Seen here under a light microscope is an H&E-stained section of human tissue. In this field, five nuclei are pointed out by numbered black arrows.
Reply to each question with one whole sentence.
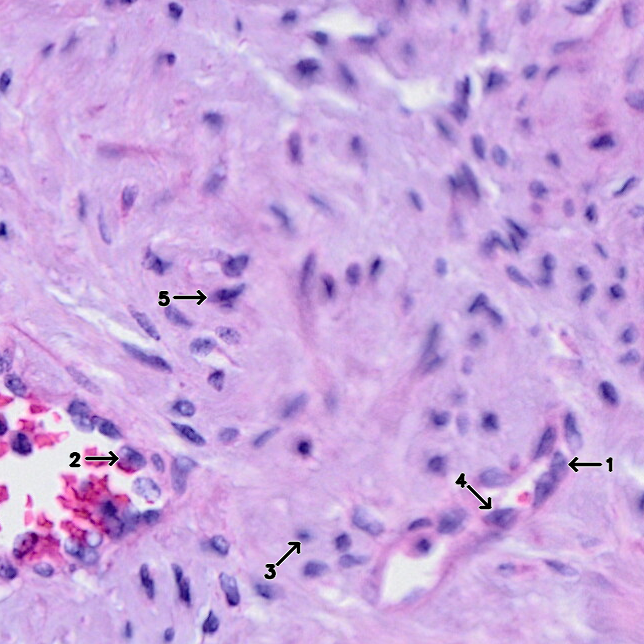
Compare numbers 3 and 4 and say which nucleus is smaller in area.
With nucleus 4 about 2.5 times its size, nucleus 3 is the smaller of the two.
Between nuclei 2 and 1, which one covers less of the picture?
Number 1 is smaller, since number 2 takes up about 1.5 times as much area.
